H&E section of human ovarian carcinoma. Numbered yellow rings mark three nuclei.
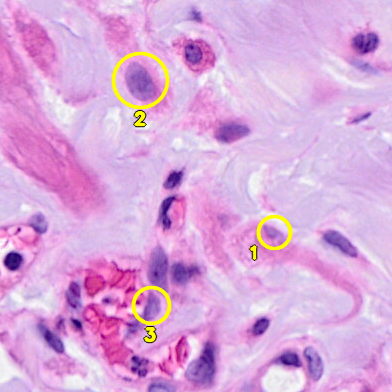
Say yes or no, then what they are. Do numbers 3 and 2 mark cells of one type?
No, cell 3 is an endothelial cell and cell 2 is a smooth muscle cell.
